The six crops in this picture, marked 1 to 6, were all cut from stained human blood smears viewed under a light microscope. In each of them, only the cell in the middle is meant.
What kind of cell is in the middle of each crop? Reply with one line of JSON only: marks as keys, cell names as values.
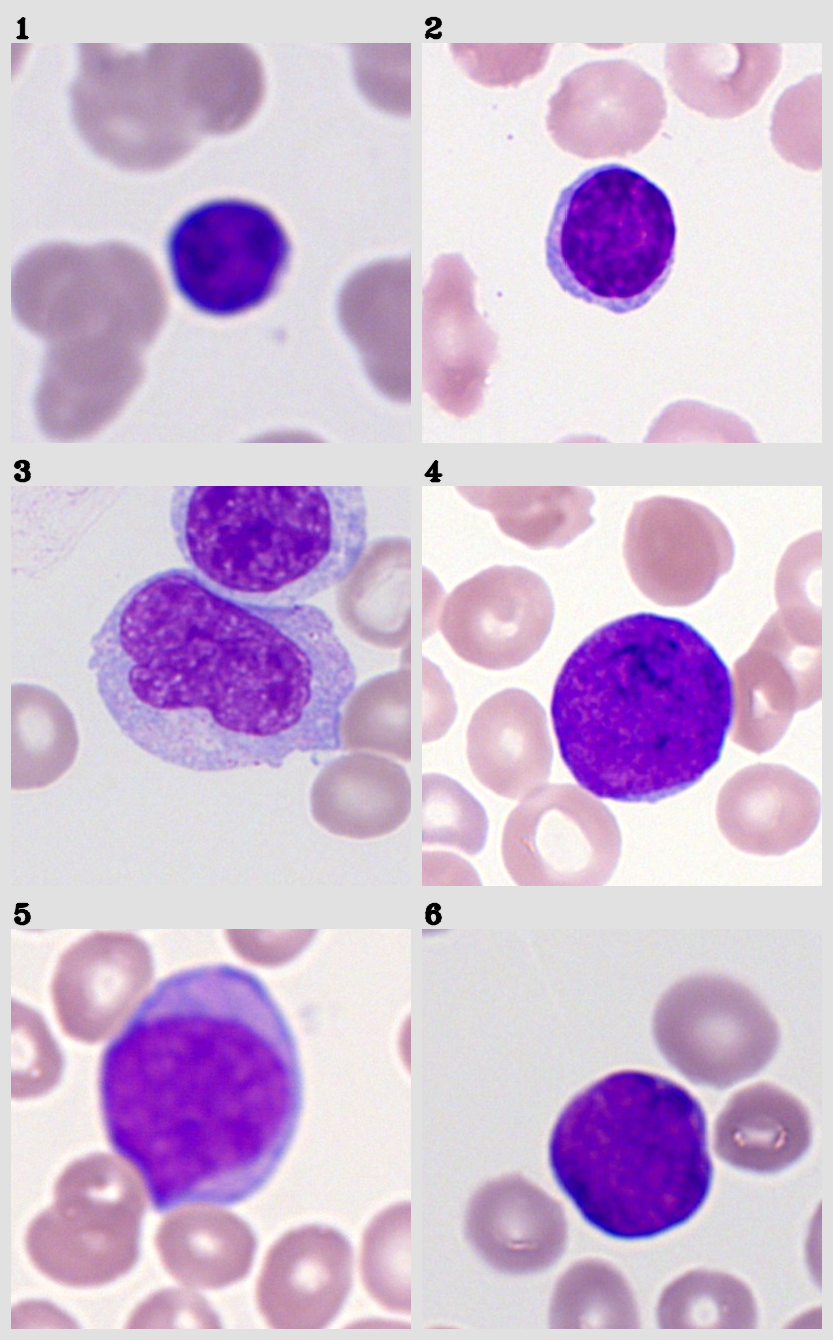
{"1": "lymphocyte", "2": "lymphocyte", "3": "monocyte", "4": "myeloblast", "5": "myeloblast", "6": "myeloblast"}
